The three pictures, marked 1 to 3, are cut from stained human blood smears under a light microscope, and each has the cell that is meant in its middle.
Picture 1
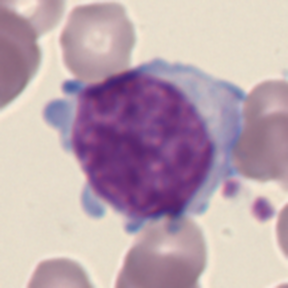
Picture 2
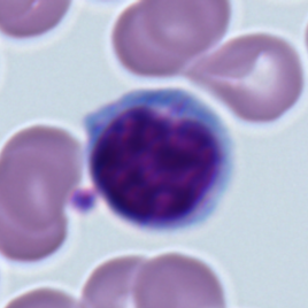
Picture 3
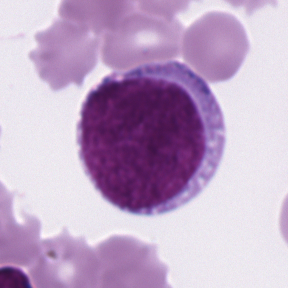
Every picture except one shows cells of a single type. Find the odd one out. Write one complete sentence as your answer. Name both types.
The different one is picture 2; it shows a typical lymphocyte, whereas all the others show myeloblasts.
